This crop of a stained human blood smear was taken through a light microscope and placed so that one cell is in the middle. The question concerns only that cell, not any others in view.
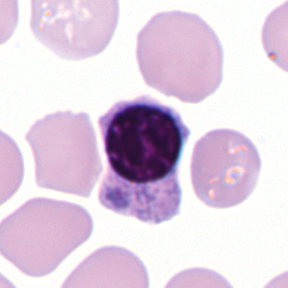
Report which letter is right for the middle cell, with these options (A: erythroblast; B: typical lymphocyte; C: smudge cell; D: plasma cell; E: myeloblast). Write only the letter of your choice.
A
